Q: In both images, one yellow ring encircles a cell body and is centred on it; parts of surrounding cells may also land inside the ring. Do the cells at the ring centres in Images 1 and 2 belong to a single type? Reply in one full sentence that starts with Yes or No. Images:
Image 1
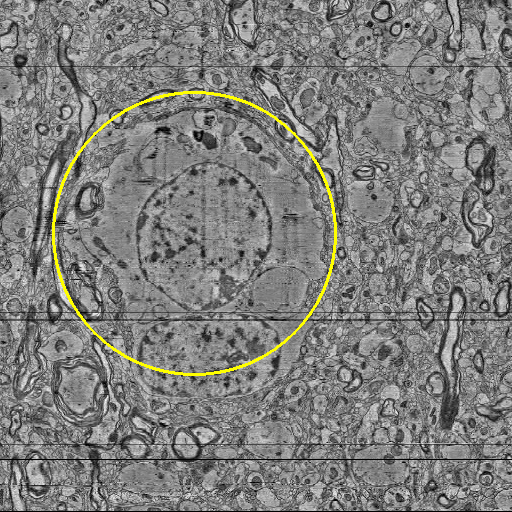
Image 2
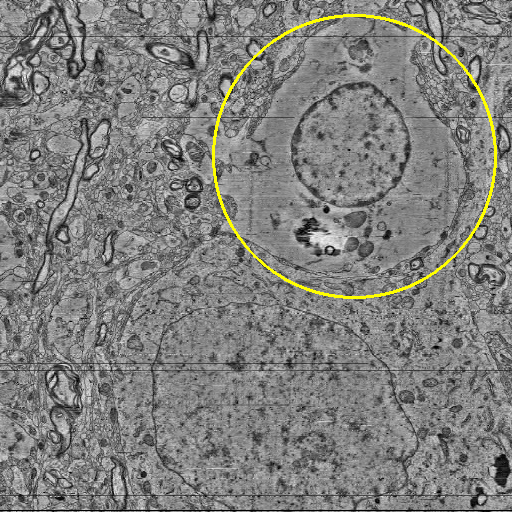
Yes, the cells at the ring centres in Images 1 and 2 are of a single type.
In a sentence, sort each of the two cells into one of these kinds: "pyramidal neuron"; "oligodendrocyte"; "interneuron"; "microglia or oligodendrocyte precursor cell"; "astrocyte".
In the first picture and in the second, the ring is centred on an astrocyte.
